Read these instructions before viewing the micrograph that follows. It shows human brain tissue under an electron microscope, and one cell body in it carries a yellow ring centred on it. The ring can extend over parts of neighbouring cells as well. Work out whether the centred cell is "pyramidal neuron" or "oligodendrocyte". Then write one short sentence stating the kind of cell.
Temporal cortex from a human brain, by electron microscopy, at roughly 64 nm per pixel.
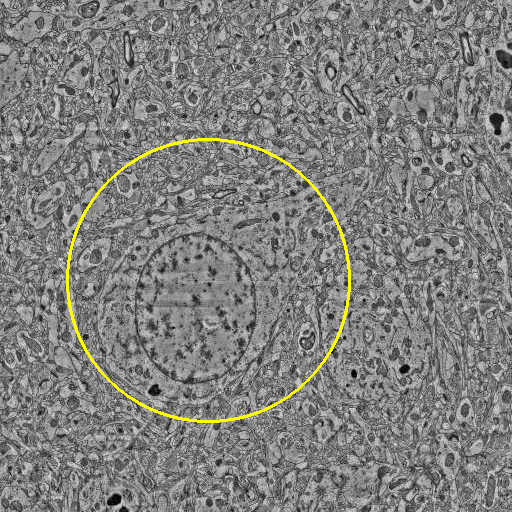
The ringed cell is a pyramidal neuron.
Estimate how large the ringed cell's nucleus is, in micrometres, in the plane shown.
Approximately 10 x 8 micrometres in this plane.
